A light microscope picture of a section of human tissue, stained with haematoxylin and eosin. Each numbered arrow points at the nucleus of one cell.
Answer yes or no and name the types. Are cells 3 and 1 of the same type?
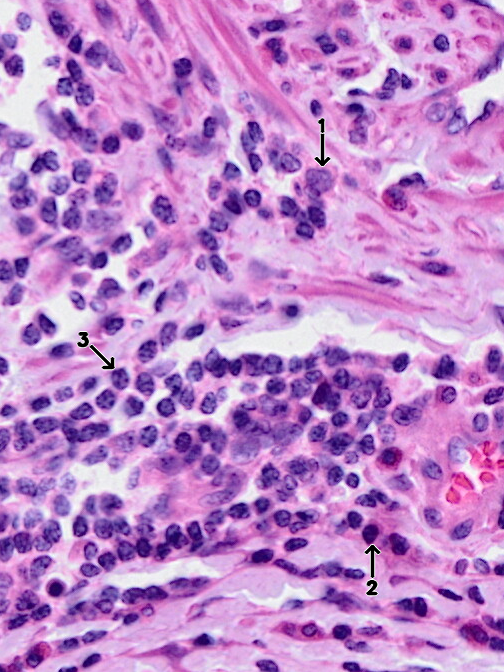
No, cell 3 counts as a lymphocyte, and cell 1 counts as a macrophage or monocyte.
